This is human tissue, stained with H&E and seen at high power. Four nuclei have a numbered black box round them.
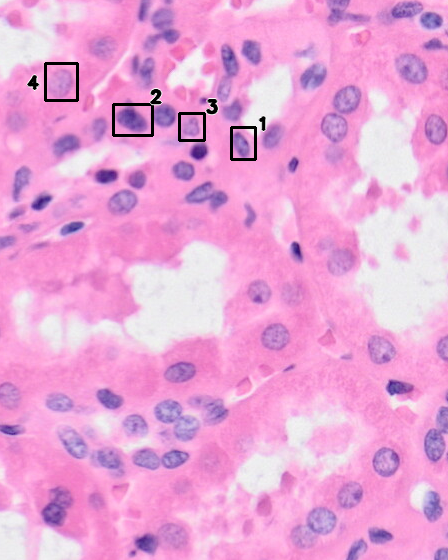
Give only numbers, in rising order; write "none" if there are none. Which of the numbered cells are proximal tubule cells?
4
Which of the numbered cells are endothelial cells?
none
